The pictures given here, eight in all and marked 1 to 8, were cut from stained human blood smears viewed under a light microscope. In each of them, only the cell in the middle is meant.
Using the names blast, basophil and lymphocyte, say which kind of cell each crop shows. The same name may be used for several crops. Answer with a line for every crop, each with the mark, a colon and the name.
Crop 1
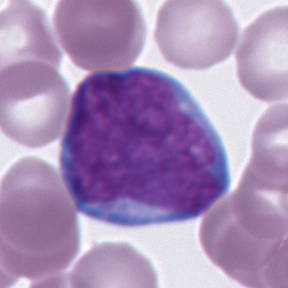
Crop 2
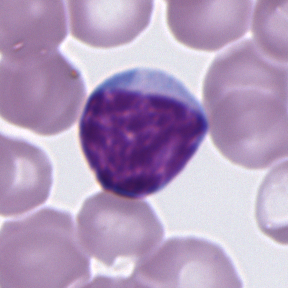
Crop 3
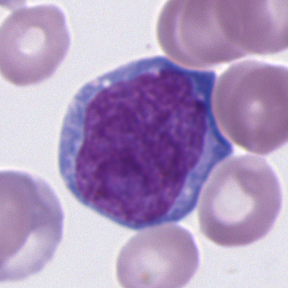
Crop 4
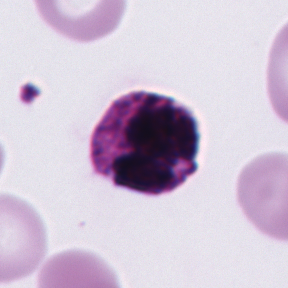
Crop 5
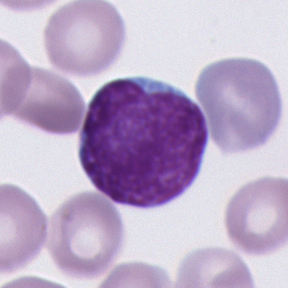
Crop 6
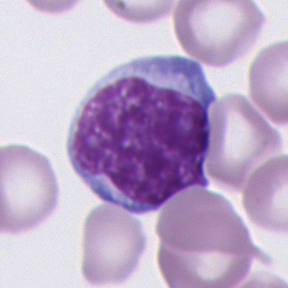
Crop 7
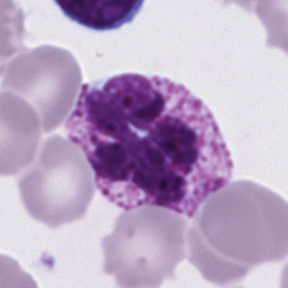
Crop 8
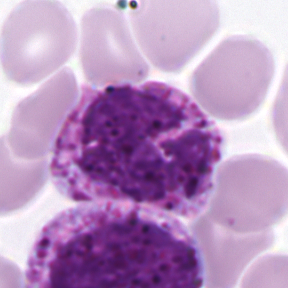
1: blast
2: blast
3: blast
4: basophil
5: blast
6: blast
7: basophil
8: basophil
